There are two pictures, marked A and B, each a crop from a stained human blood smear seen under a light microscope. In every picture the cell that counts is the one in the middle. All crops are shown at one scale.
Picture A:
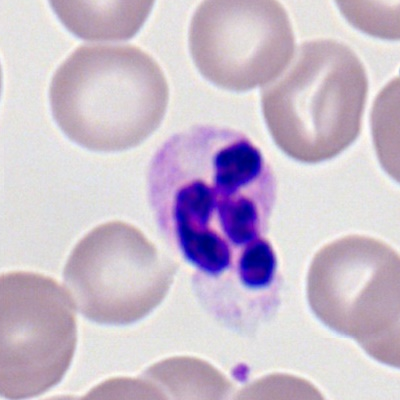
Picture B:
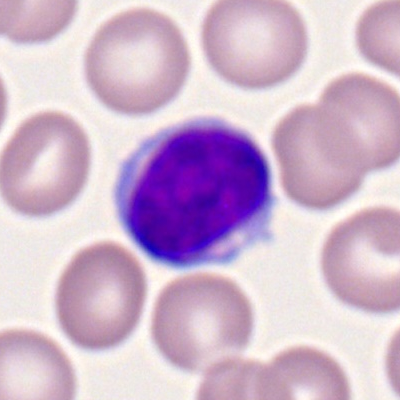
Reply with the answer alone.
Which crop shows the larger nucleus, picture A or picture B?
B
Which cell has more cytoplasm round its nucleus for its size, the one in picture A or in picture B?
A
